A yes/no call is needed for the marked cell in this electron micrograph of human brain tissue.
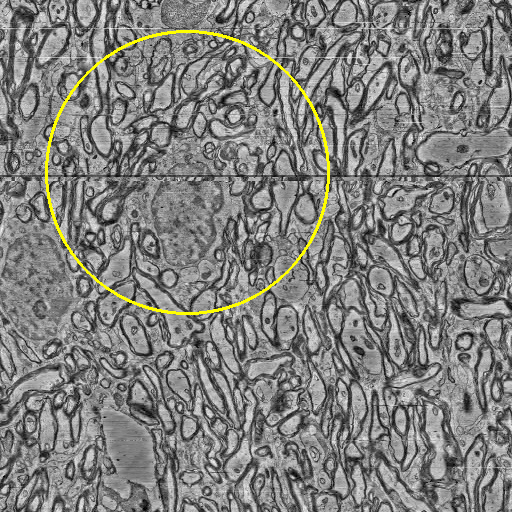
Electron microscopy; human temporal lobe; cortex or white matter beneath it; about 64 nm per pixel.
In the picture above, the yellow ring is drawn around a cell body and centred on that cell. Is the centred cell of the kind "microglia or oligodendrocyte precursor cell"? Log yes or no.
no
